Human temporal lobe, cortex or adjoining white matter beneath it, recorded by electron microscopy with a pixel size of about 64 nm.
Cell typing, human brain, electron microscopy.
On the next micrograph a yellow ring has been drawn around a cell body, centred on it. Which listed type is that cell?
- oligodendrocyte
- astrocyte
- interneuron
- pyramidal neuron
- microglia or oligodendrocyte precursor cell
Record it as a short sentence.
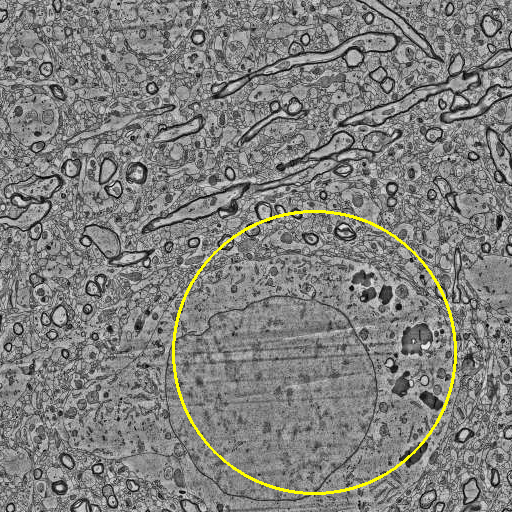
The cell body in the ring's centre belongs to a pyramidal neuron.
